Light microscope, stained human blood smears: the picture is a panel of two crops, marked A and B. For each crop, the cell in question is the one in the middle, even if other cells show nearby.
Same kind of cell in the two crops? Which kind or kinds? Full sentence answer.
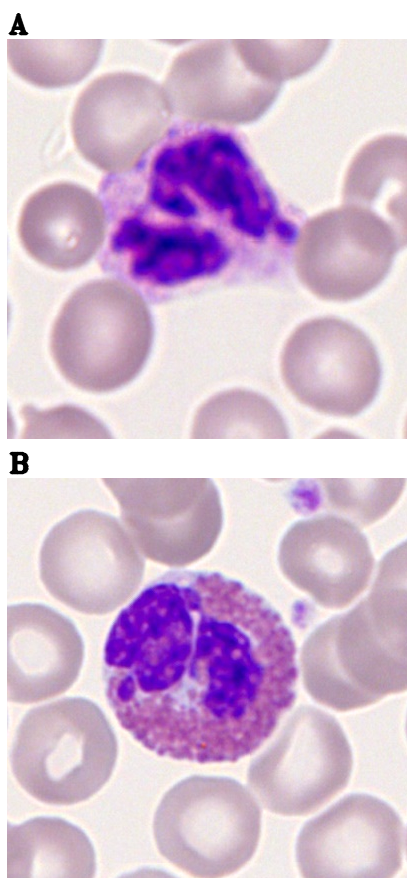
No, crop A contains a basophil, and crop B contains an eosinophil.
